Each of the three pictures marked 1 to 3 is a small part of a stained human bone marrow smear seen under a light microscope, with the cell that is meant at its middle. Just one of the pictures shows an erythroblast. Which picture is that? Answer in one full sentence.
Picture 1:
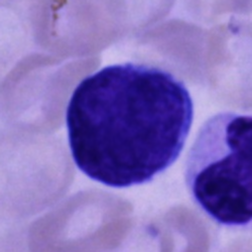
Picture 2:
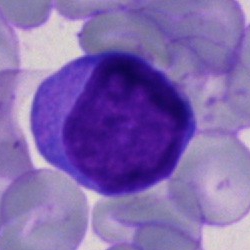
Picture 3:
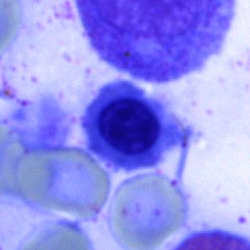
Picture 3 is the one that shows the erythroblast.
